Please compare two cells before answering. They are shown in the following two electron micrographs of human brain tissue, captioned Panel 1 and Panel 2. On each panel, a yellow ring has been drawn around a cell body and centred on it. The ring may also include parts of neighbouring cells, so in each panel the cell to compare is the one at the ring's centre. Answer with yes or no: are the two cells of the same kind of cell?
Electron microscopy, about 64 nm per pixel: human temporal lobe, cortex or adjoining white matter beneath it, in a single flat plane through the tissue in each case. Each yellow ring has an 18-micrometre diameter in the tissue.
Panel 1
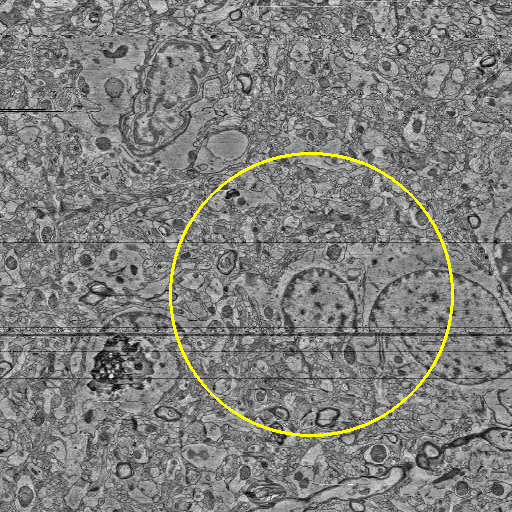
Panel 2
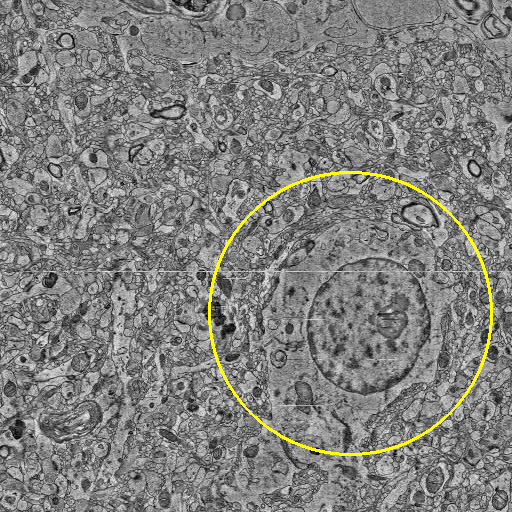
yes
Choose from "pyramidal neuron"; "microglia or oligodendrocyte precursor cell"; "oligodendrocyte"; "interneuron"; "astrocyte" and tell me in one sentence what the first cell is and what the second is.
Each of the ringed cells, first and second, is an astrocyte.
